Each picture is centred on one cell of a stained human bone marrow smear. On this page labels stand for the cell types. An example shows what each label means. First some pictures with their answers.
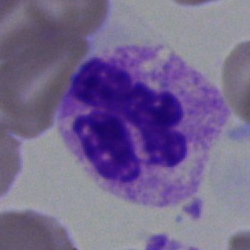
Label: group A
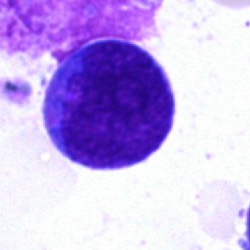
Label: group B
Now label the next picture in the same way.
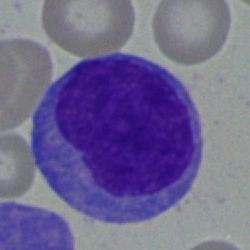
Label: group B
